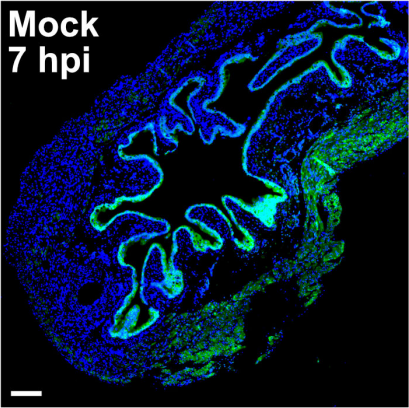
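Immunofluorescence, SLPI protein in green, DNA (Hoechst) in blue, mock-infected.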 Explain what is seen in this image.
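This is a cross-section through the wall of a bladder, with the mucosa thrown into deep folds around a branching, star-shaped lumen. The epithelium lining these folds glows bright green as a thin continuous band along every fold, while the broad wall beyond it is packed with blue nuclei. Patchy green also appears in the outer part of the wall toward the right and lower edge.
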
